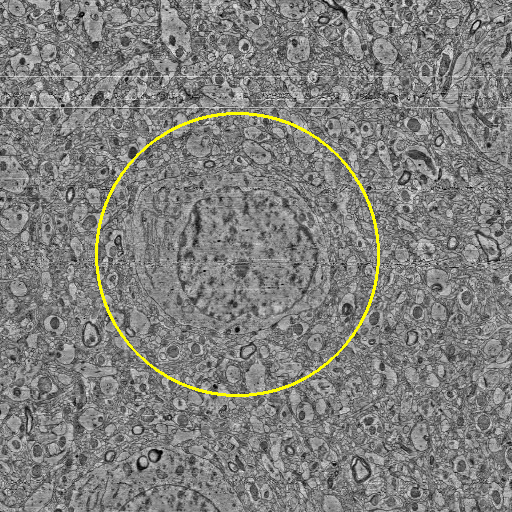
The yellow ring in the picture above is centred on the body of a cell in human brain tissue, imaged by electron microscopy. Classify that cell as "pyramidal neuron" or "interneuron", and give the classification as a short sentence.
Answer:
The cell in the middle of the ring is an interneuron.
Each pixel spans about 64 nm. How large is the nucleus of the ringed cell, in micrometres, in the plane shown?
In this plane, approximately 9 micrometres across.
